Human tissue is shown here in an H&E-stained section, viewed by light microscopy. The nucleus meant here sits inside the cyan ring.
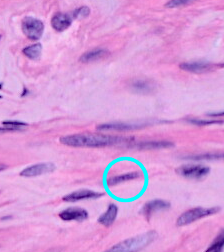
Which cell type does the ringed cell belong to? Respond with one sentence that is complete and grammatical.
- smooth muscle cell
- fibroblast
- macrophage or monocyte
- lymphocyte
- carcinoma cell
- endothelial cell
At the level of cell identity, the ringed cell is a smooth muscle cell.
